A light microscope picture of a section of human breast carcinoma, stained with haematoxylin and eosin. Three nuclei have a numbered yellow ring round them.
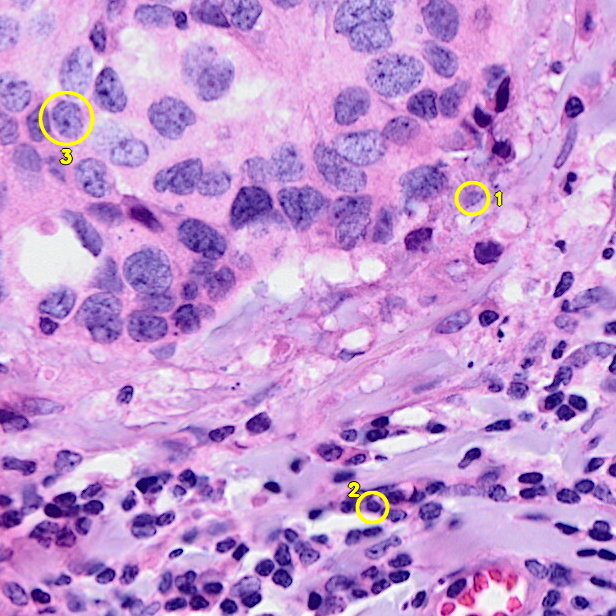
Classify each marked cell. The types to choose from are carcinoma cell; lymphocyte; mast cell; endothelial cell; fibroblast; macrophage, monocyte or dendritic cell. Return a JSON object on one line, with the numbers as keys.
{"1": "macrophage, monocyte or dendritic cell", "2": "lymphocyte", "3": "carcinoma cell"}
